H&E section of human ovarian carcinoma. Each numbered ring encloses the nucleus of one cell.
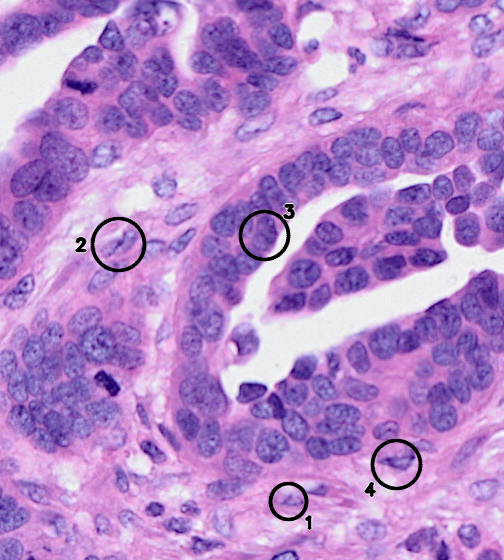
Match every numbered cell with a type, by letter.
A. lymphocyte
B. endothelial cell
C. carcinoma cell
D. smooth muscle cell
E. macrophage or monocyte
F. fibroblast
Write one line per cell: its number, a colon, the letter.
1: F
2: F
3: C
4: F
